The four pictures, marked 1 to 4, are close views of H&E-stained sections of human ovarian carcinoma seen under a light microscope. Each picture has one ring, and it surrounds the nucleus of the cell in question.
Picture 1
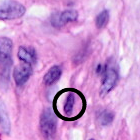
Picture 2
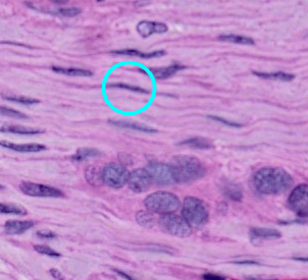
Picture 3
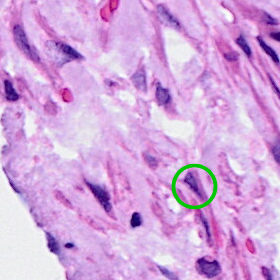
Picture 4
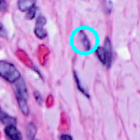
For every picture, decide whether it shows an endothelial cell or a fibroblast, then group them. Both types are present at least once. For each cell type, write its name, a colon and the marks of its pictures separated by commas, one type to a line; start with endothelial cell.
endothelial cell: 1
fibroblast: 2, 3, 4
